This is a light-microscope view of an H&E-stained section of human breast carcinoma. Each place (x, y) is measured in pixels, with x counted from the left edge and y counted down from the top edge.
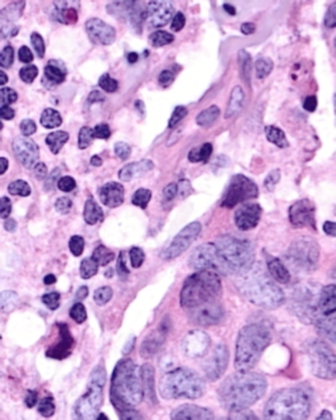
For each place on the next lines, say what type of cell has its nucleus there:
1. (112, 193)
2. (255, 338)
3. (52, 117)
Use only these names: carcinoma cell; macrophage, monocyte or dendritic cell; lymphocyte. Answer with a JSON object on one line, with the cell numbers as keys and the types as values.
{"1": "lymphocyte", "2": "carcinoma cell", "3": "lymphocyte"}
